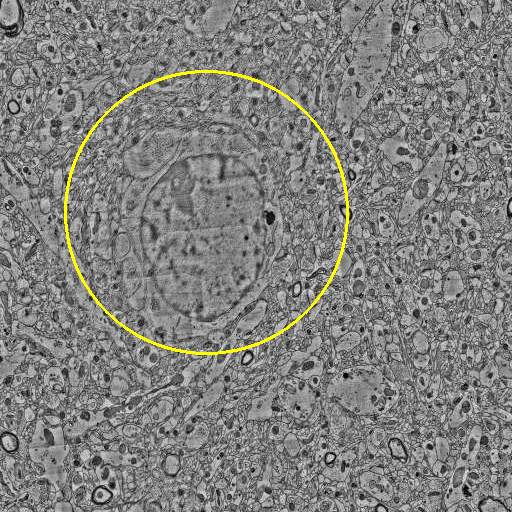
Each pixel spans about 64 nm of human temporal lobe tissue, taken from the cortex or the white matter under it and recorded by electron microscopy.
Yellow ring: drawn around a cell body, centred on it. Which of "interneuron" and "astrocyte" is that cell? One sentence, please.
That cell body is from an interneuron.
